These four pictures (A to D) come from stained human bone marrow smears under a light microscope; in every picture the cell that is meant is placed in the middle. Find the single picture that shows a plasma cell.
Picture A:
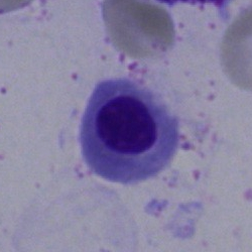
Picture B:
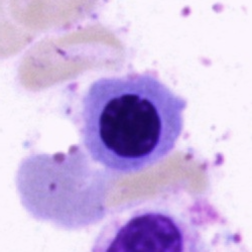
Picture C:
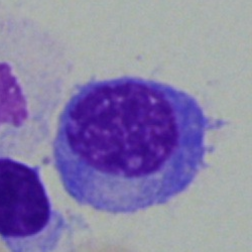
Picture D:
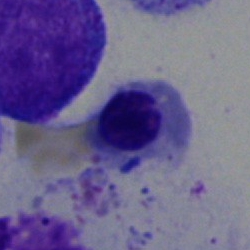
C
